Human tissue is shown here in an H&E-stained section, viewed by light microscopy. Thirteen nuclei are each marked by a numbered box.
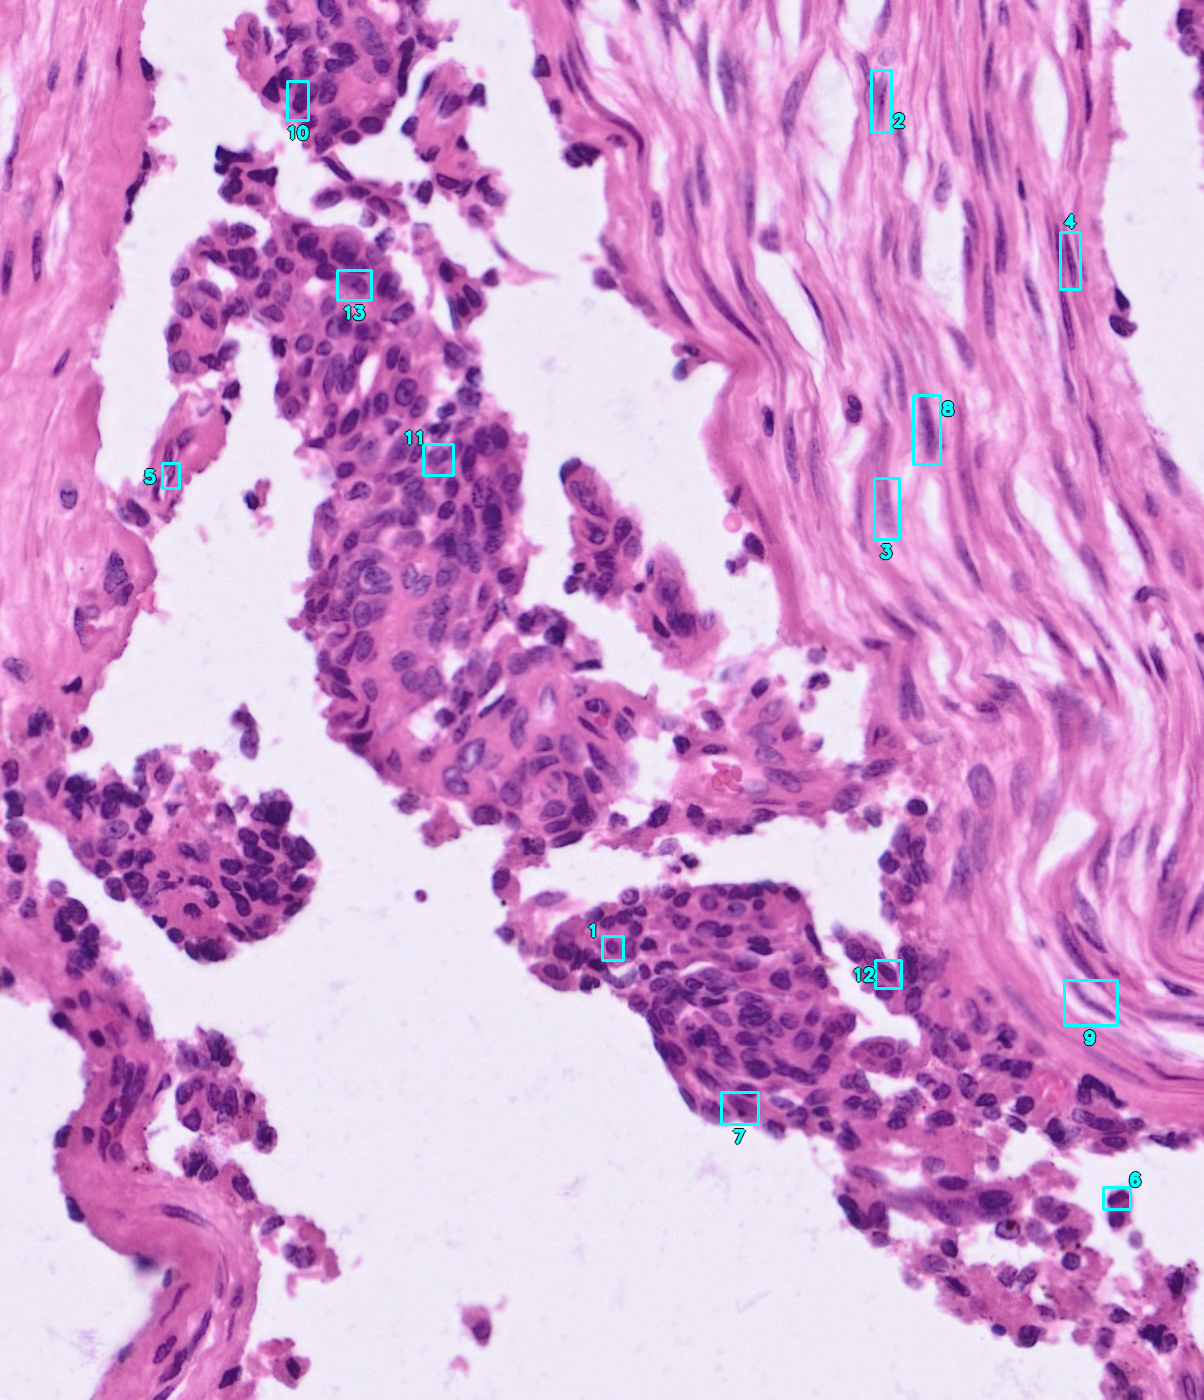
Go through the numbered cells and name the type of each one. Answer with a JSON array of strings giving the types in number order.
["carcinoma cell", "fibroblast", "fibroblast", "fibroblast", "endothelial cell", "carcinoma cell", "carcinoma cell", "fibroblast", "fibroblast", "carcinoma cell", "carcinoma cell", "carcinoma cell", "carcinoma cell"]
